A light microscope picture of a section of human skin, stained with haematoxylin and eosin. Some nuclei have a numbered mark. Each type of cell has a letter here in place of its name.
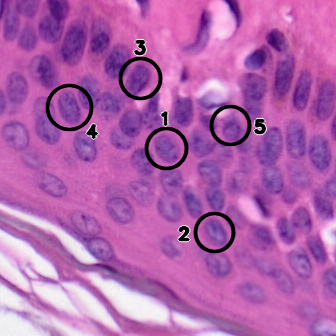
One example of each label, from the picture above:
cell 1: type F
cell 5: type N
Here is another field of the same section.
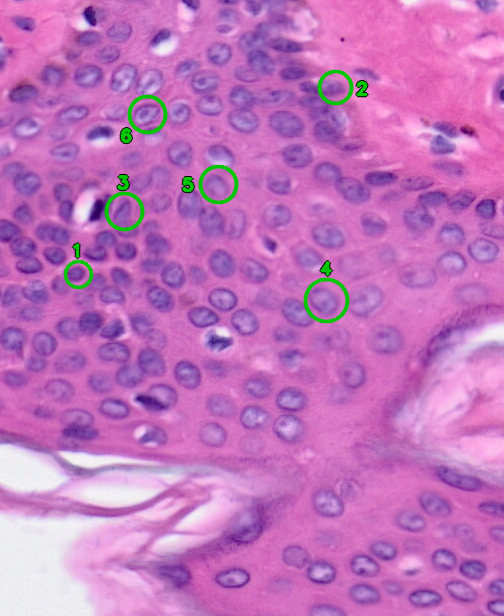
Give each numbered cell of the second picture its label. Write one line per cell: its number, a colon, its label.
1: type N
2: type N
3: type N
4: type F
5: type F
6: type F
